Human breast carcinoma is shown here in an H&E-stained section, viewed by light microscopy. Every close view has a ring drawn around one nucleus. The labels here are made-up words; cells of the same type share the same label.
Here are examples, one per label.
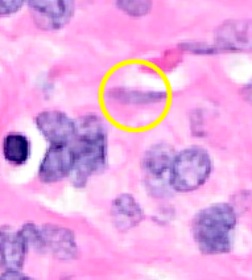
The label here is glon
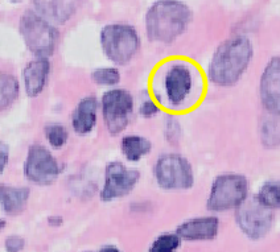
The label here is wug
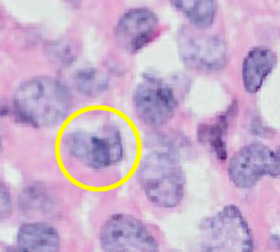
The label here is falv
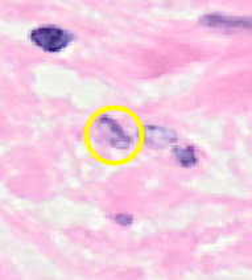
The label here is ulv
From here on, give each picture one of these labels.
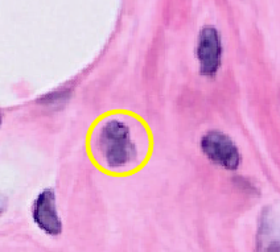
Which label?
wug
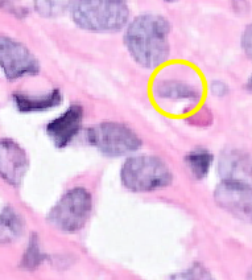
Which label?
glon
